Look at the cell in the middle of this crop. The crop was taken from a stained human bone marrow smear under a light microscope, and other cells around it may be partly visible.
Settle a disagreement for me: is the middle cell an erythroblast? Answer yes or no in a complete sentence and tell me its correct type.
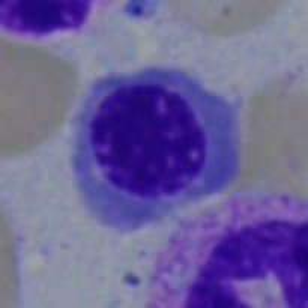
Yes, the centrally placed cell is an erythroblast.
